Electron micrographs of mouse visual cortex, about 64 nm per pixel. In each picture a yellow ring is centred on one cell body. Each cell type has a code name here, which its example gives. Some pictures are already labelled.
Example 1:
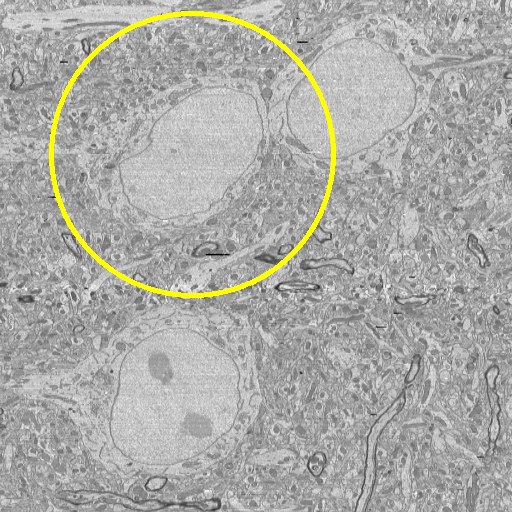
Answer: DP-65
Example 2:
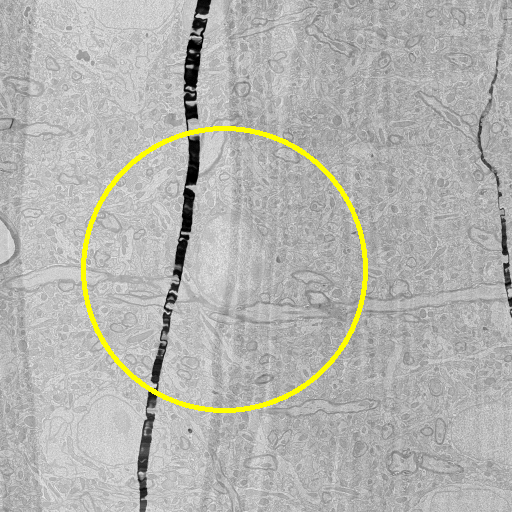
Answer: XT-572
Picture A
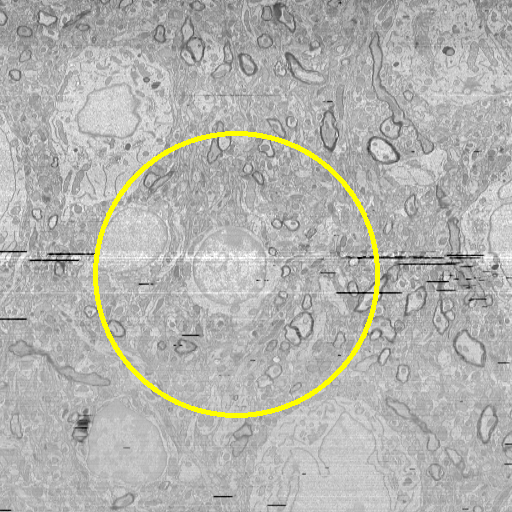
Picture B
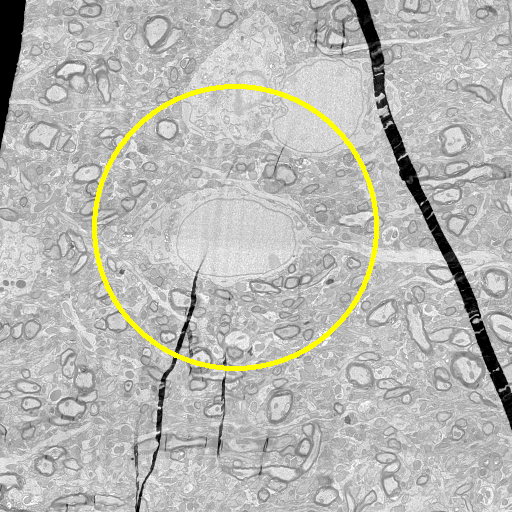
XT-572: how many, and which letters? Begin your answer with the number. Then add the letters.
Count: 1 (A)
